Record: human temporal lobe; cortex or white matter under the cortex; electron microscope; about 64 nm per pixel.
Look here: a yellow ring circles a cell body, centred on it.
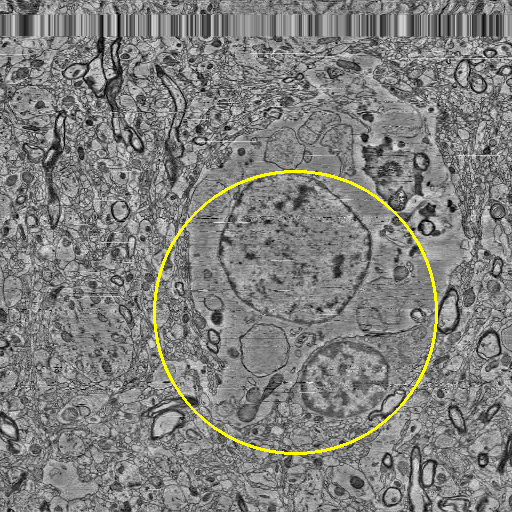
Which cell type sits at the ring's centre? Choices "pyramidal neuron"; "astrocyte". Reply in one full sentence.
The cell at the centre of the yellow ring in the picture is an astrocyte.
